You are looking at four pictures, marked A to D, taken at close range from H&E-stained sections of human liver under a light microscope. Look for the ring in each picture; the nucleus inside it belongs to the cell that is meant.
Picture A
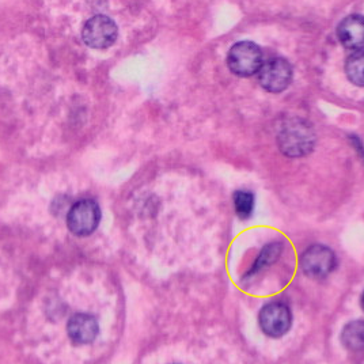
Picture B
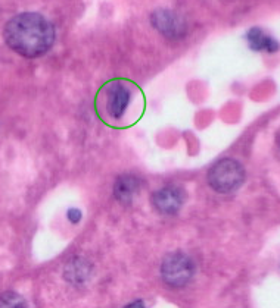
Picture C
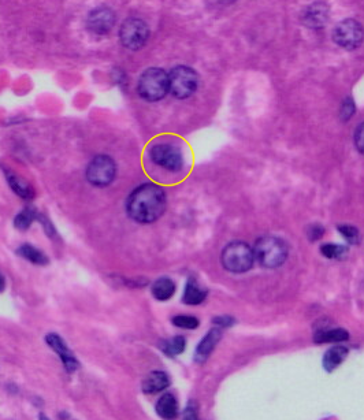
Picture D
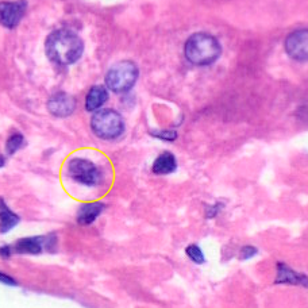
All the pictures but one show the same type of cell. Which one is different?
A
